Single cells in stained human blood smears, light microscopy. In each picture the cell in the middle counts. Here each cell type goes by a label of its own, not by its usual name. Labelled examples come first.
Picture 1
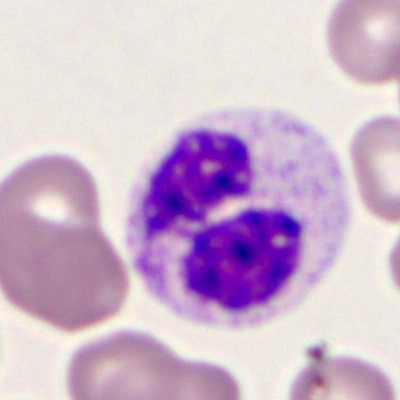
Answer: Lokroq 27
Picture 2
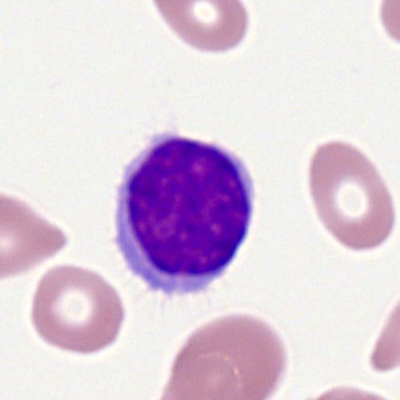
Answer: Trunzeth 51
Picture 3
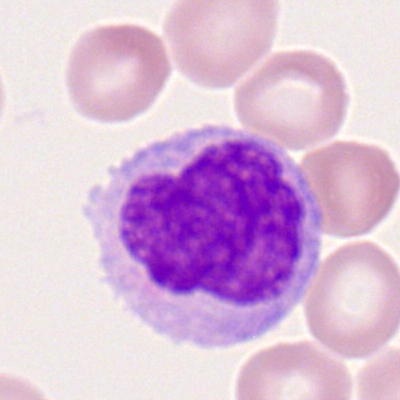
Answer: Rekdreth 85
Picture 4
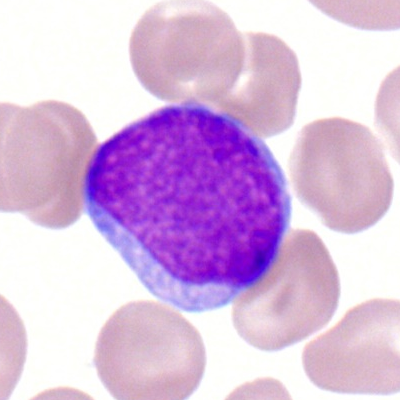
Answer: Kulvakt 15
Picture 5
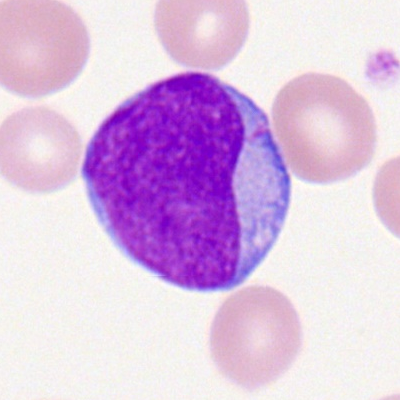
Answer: Kulvakt 15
